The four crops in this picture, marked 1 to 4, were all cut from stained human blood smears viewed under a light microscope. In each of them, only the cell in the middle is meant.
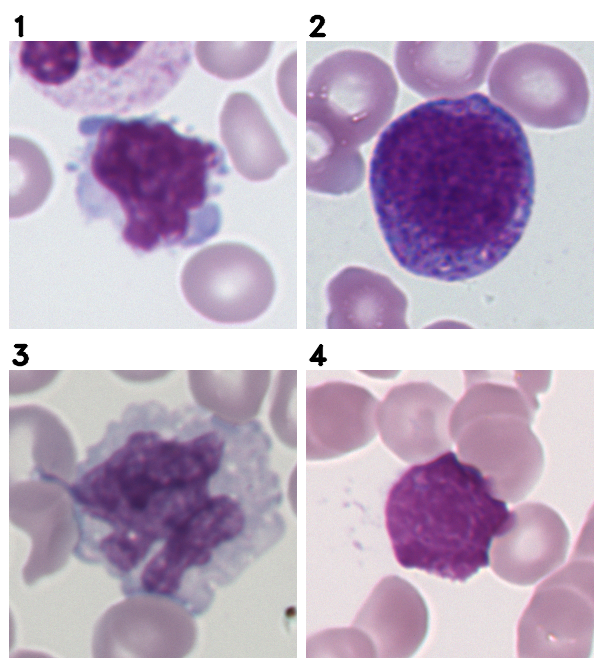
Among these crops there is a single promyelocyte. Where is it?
2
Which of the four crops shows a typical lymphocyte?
1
